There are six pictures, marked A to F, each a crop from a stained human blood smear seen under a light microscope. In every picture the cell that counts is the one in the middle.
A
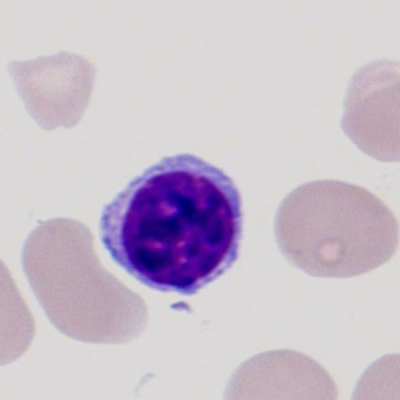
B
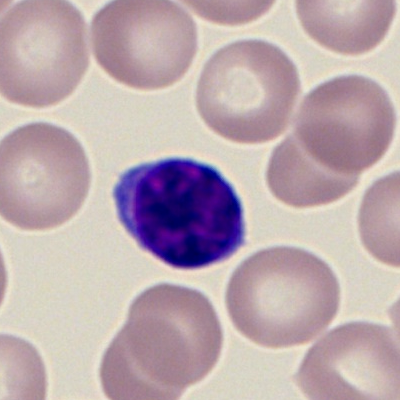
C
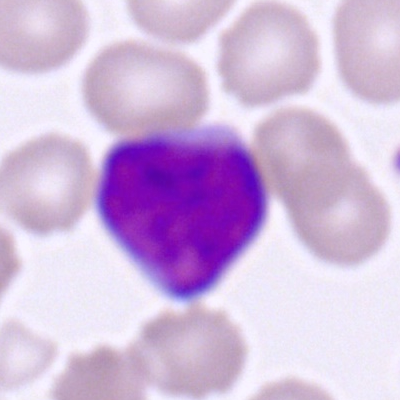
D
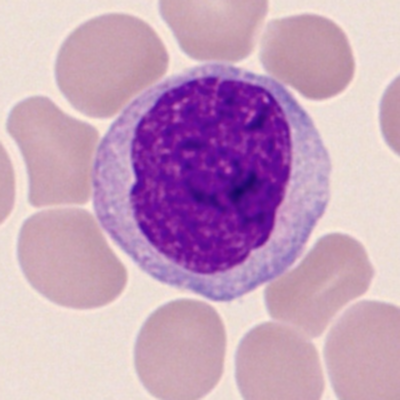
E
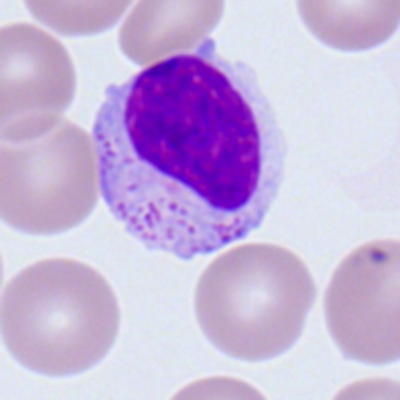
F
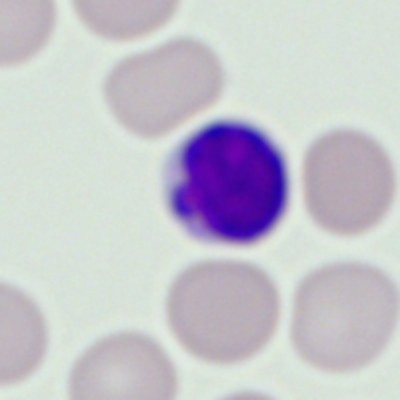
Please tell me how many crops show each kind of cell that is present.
lymphocyte: 4
myeloblast: 1
monocyte: 1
